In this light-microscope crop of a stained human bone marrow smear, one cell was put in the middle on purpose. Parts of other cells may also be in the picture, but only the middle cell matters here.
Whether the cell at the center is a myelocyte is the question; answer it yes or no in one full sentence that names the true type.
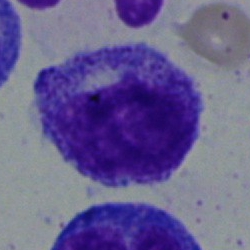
Yes, the cell of interest in the middle is a myelocyte.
